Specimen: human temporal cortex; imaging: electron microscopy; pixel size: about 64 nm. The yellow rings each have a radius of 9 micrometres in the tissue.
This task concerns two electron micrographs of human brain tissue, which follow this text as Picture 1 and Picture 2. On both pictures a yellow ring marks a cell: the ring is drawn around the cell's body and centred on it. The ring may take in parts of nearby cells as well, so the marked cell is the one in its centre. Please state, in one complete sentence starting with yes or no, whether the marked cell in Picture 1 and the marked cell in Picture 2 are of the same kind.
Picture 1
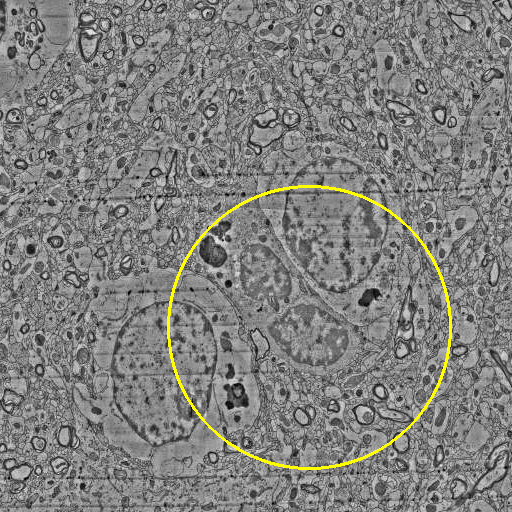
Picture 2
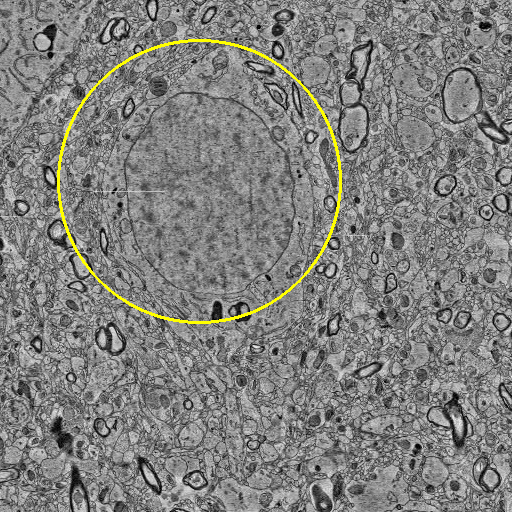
No, the marked cells in the two pictures are of two kinds.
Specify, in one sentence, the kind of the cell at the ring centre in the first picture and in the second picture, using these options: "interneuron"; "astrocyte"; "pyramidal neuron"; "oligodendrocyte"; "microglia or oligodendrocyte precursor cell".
So the first is a microglial cell or oligodendrocyte precursor cell, the second a pyramidal neuron.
